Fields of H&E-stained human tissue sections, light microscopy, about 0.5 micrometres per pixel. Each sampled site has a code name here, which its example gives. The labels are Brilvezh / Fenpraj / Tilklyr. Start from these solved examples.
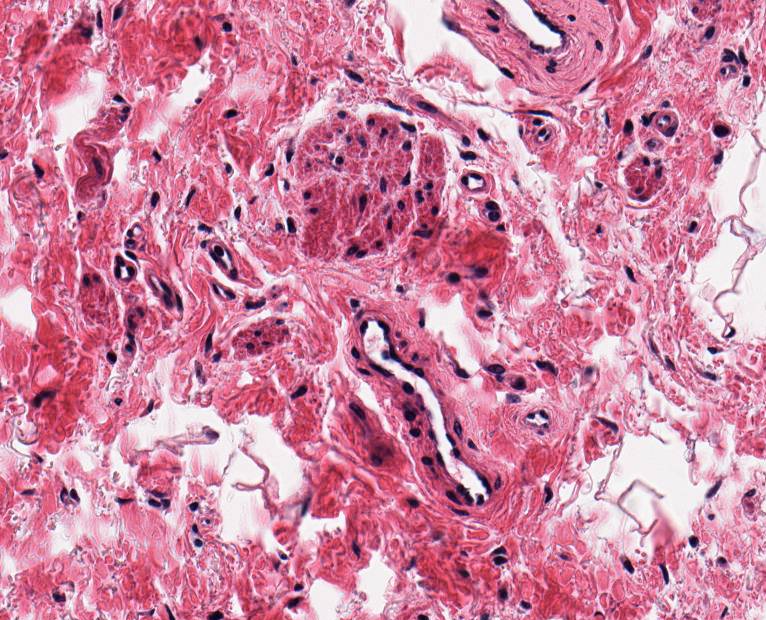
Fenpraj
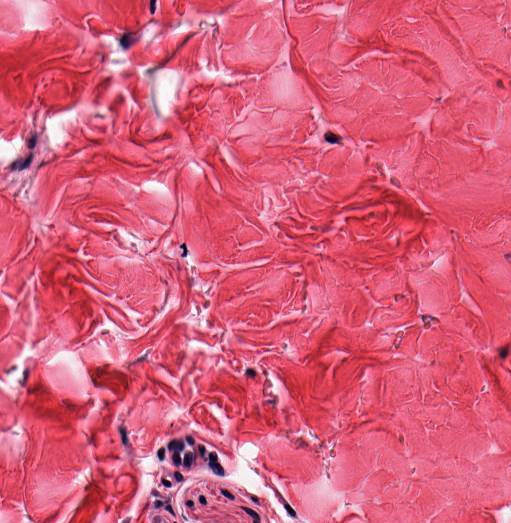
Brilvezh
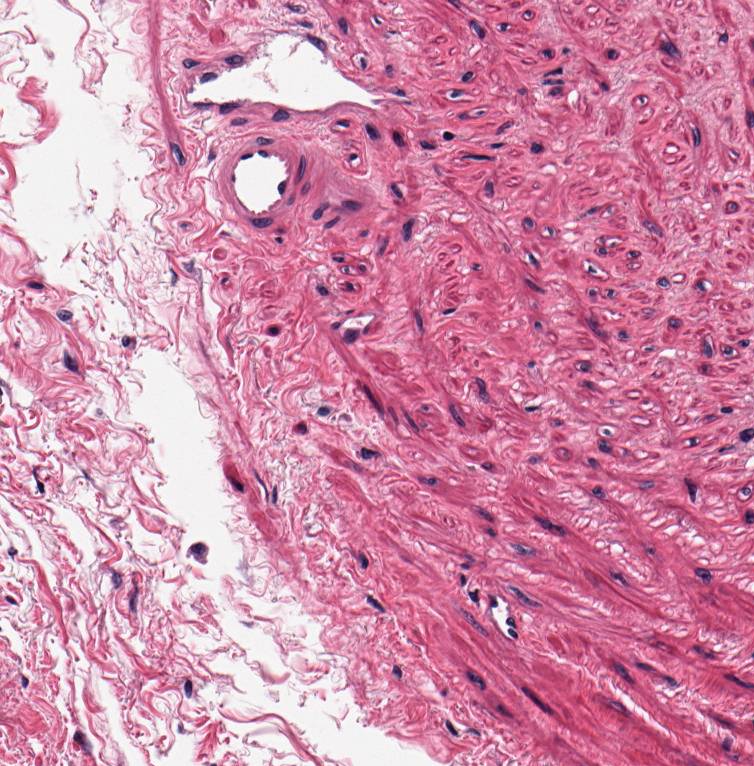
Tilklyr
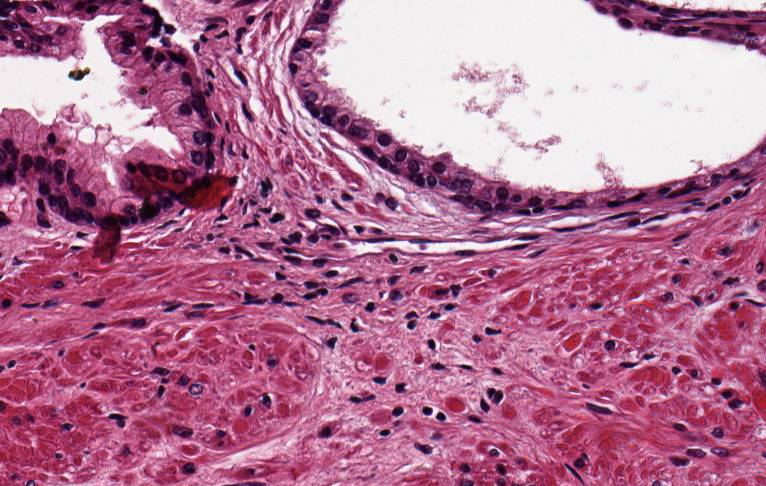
Tilklyr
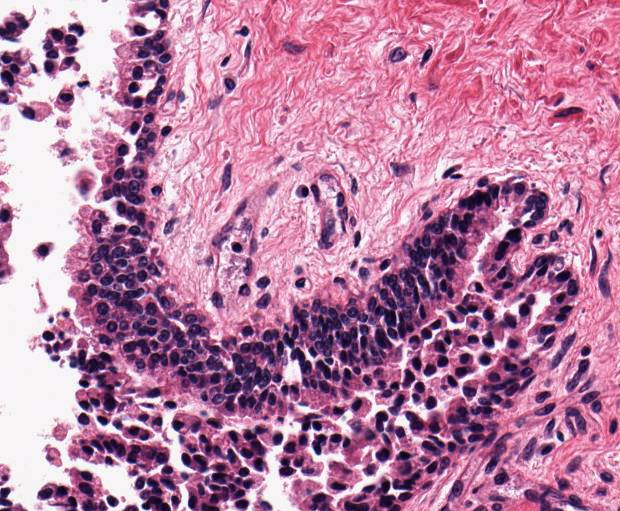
Tilklyr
